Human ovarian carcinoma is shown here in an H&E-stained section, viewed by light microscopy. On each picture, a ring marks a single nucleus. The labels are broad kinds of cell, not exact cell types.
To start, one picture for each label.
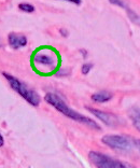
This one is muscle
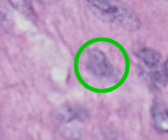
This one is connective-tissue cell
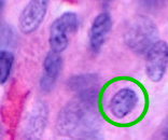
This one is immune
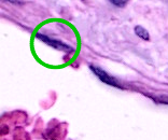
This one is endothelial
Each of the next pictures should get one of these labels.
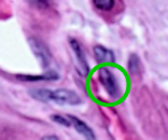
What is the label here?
endothelial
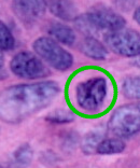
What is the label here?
immune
